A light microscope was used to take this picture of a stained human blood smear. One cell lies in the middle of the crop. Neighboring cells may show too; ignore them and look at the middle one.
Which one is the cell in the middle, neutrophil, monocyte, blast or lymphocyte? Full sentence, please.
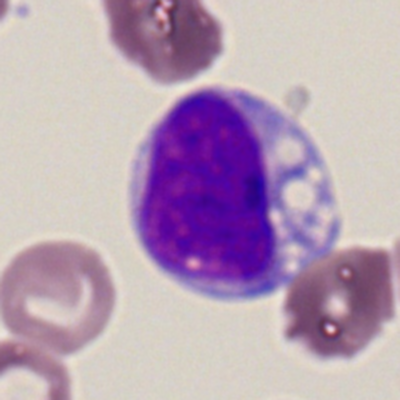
Occupying the centre of the crop is a monocyte.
